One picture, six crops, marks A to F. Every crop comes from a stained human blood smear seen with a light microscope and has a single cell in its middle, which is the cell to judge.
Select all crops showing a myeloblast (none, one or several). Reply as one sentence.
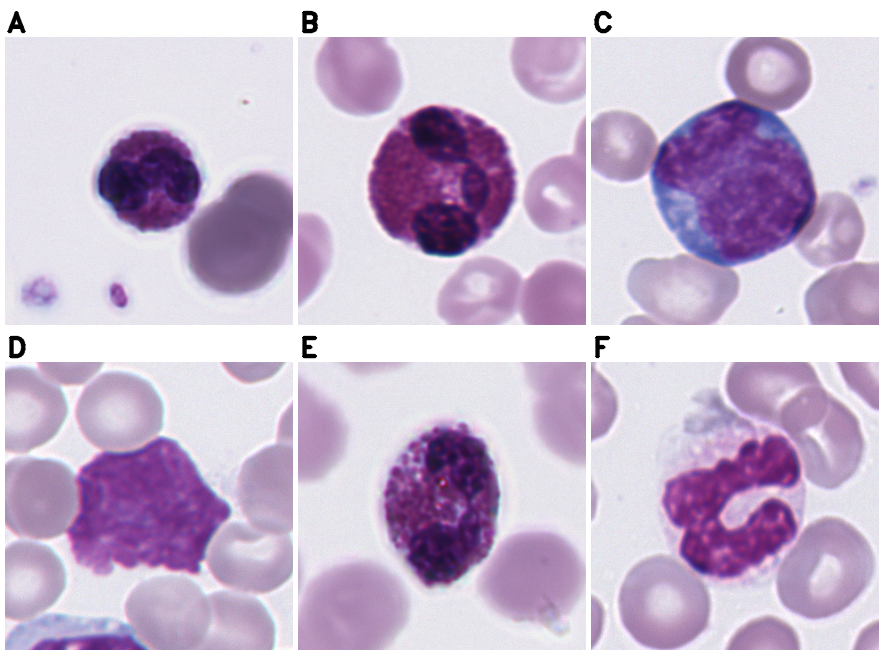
That would be crop C; it is the only crop with a myeloblast.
